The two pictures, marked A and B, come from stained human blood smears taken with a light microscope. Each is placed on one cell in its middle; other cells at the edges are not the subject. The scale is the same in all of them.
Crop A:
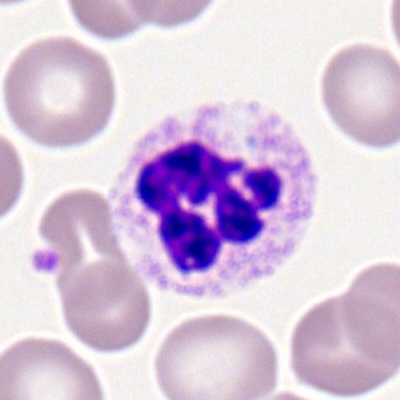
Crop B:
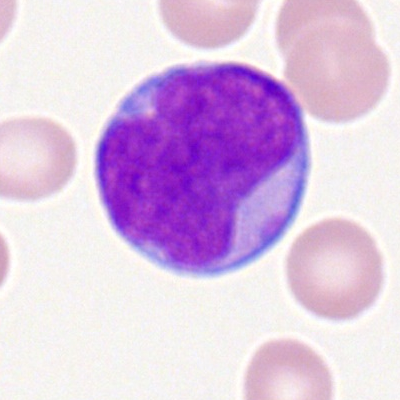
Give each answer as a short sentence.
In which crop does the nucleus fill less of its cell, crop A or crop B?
The nucleus fills less of the cell in crop A than in crop B.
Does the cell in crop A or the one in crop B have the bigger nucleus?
It is the nucleus in crop B, about 2.5 times as large in area as the one in crop A.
